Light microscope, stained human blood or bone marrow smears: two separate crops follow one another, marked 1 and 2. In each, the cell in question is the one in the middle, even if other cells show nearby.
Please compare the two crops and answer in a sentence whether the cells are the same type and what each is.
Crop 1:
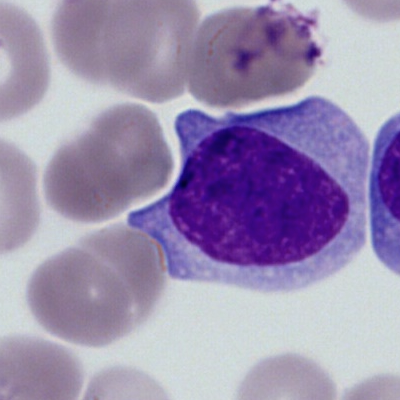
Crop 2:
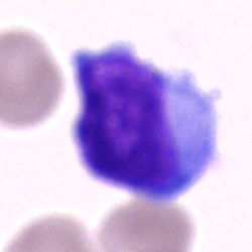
Yes, the centre of both crops is taken up by blasts.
